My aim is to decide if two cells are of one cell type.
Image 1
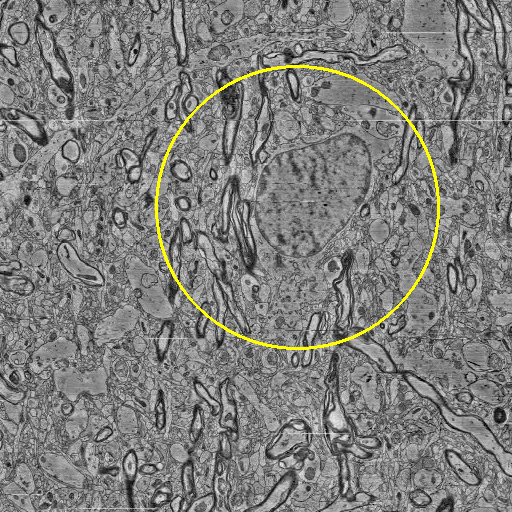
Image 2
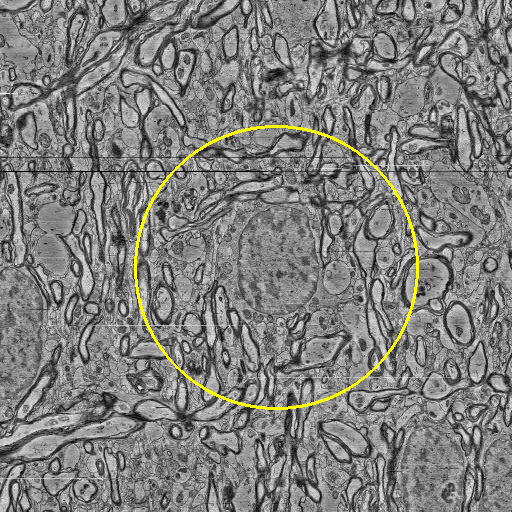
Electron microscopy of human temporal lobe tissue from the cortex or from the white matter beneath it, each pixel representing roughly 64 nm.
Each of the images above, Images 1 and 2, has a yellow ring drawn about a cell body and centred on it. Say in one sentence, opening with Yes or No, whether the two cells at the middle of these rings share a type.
No, in Images 1 and 2 the cells at the middle of the rings fall into two types.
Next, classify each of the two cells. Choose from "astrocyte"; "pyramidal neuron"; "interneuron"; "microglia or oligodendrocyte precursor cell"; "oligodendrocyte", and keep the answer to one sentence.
In the first picture it is a microglial cell or oligodendrocyte precursor cell; in the second it is an oligodendrocyte.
